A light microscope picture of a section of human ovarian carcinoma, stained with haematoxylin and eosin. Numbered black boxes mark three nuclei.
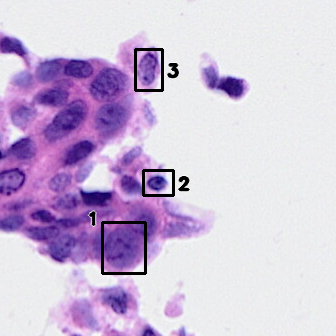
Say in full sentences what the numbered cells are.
Cell 1 is a carcinoma cell. Cell 2 is a lymphocyte. Cell 3 is a macrophage or monocyte.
